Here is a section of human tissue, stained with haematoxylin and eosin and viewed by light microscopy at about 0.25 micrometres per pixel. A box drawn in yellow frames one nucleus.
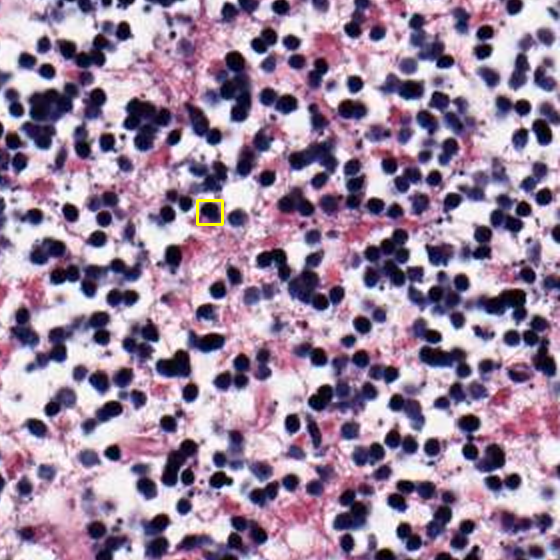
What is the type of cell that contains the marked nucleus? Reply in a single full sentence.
In this section, the marked nucleus is that of a cerebellar granule cell.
